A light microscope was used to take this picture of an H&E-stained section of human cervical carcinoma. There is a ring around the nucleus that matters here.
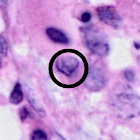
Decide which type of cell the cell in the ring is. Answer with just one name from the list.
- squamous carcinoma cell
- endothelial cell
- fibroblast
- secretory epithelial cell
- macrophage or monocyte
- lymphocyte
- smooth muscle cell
macrophage or monocyte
